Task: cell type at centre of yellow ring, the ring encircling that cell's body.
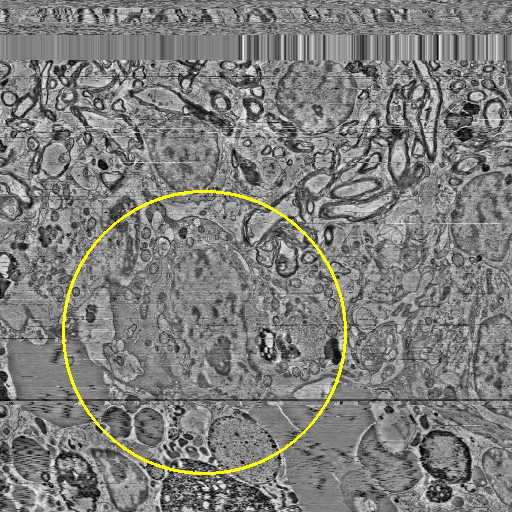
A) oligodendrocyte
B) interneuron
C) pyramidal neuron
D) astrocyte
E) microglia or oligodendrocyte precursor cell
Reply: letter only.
D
